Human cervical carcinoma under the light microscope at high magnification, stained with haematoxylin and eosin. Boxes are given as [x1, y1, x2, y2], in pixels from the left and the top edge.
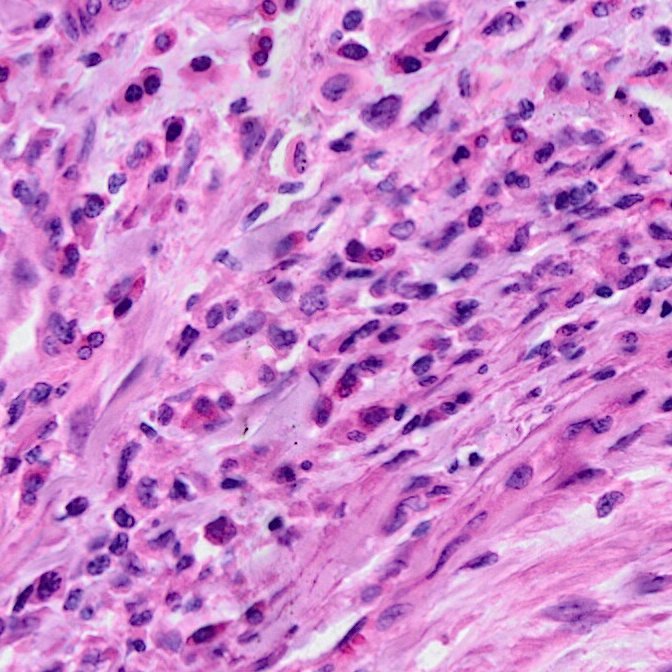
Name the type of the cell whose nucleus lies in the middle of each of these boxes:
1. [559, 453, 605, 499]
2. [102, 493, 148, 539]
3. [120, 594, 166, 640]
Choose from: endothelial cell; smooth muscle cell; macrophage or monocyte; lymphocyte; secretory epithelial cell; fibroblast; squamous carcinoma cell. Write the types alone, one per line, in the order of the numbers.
macrophage or monocyte
lymphocyte
lymphocyte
